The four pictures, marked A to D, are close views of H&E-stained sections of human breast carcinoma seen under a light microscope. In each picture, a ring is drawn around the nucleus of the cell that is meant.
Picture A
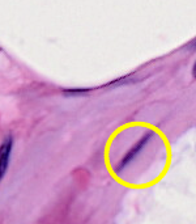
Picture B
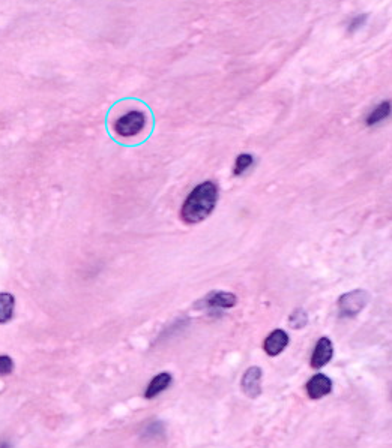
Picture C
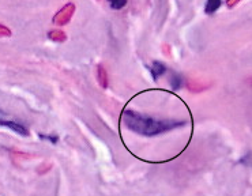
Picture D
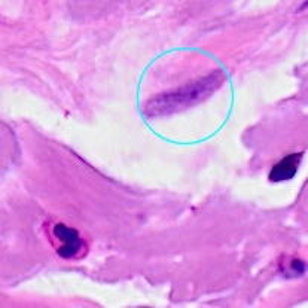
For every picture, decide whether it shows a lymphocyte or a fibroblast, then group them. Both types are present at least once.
A: fibroblast
B: lymphocyte
C: fibroblast
D: fibroblast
